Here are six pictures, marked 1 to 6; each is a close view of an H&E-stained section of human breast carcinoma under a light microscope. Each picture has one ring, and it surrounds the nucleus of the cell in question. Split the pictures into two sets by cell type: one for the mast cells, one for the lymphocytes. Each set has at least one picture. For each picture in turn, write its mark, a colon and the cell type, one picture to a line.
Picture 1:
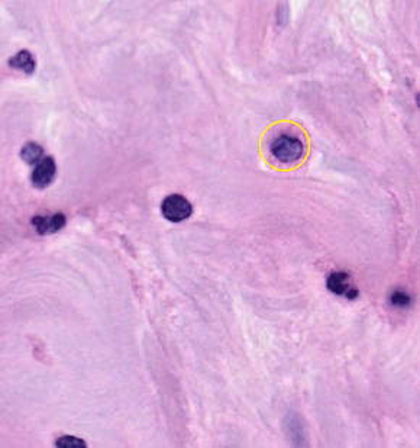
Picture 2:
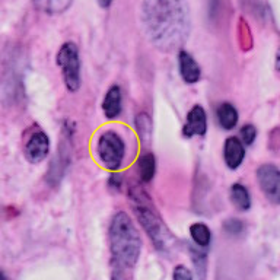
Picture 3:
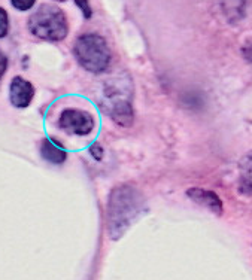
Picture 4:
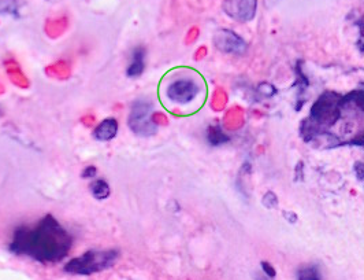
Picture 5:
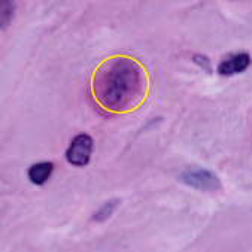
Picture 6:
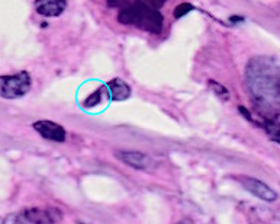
1: mast cell
2: lymphocyte
3: lymphocyte
4: lymphocyte
5: mast cell
6: lymphocyte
